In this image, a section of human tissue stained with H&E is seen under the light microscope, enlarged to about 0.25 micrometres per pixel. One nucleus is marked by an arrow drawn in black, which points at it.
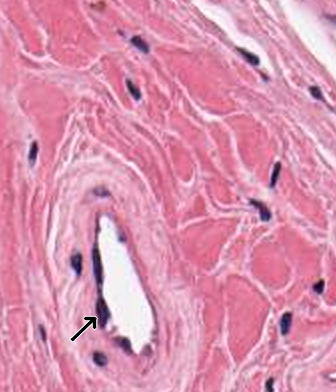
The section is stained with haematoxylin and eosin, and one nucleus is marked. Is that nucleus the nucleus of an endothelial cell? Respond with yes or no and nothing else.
yes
